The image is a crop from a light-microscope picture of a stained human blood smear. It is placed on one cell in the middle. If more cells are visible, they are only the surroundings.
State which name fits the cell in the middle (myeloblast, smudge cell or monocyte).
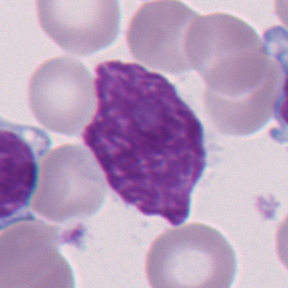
smudge cell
